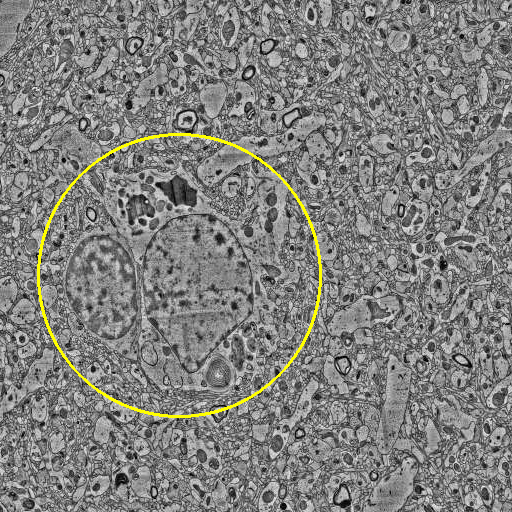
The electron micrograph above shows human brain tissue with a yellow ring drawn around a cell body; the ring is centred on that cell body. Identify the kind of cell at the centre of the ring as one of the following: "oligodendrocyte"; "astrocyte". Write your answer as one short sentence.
The cell at the centre of the ring is an astrocyte.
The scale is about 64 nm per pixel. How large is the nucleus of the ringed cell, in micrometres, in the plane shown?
About 10 by 8 micrometers for the nucleus, in this plane.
